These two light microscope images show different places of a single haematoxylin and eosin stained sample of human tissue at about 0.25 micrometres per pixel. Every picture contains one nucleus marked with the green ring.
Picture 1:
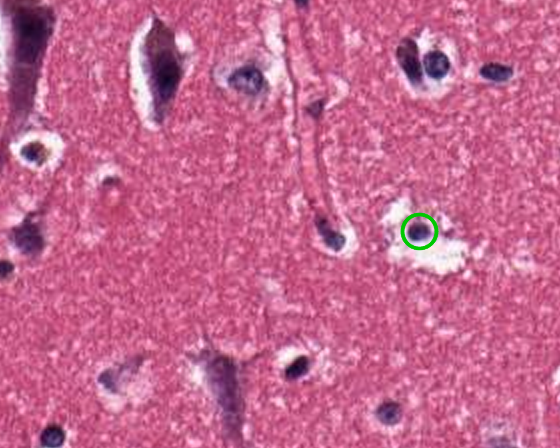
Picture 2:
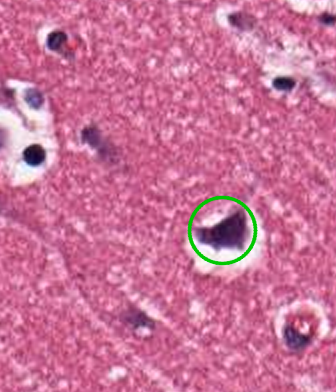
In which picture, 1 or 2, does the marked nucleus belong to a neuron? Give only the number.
2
